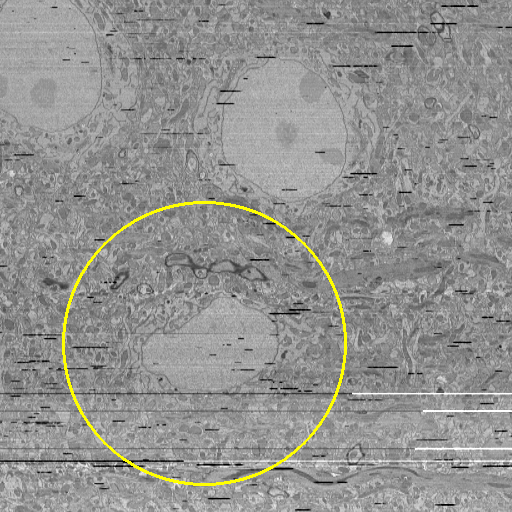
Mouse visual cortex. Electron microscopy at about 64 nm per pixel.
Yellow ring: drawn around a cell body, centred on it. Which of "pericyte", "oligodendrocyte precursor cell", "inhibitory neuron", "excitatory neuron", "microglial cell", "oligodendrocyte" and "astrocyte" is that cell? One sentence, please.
That cell body is from an inhibitory neuron.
